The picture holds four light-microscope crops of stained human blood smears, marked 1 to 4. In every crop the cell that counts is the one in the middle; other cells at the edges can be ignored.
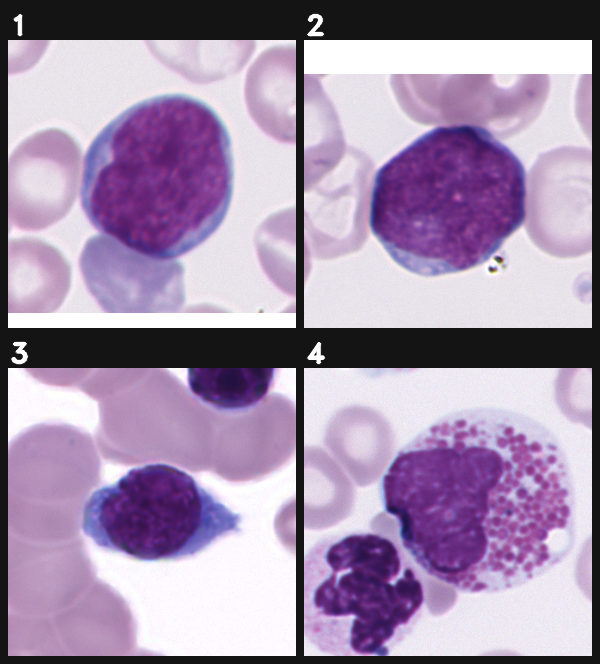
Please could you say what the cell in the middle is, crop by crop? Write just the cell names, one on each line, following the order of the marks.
myeloblast
myeloblast
plasma cell
eosinophil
